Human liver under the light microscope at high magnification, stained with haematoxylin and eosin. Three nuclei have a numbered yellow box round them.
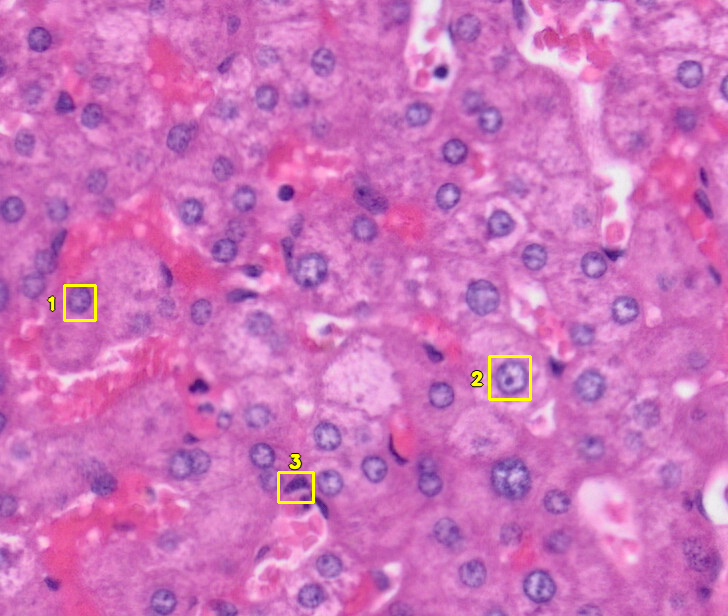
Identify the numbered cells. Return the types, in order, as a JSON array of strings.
["hepatocyte", "hepatocyte", "fibroblast or stellate cell"]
